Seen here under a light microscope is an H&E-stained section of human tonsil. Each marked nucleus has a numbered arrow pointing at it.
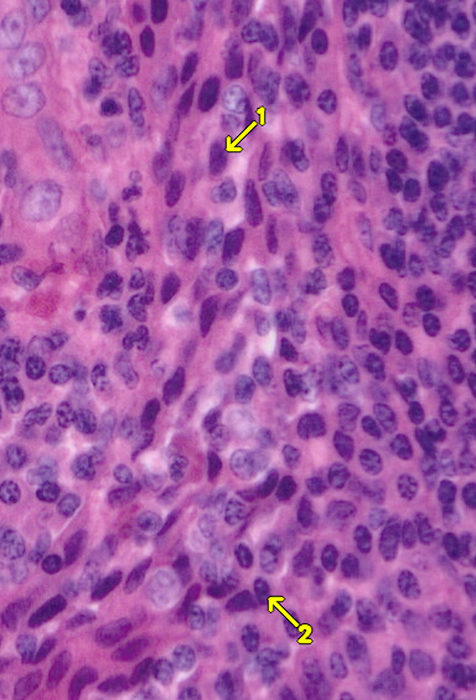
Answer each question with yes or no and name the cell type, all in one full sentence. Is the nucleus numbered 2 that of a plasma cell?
Yes, in this section the cell numbered 2 is a plasma cell.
